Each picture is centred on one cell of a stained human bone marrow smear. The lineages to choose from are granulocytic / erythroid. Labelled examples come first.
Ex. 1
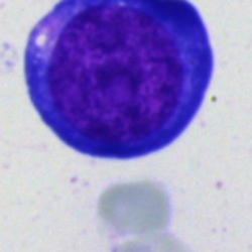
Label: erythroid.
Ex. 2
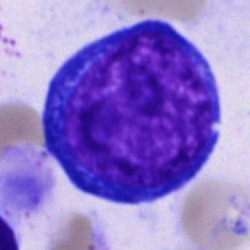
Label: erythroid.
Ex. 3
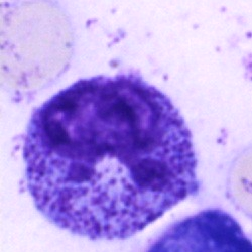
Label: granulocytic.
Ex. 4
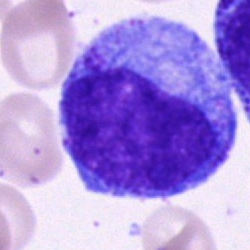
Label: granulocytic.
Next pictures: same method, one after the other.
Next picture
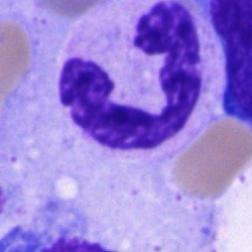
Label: granulocytic.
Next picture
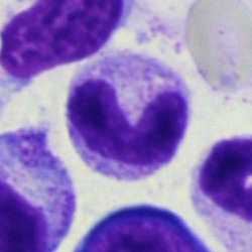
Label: granulocytic.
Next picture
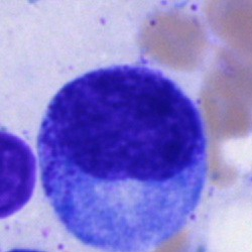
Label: granulocytic.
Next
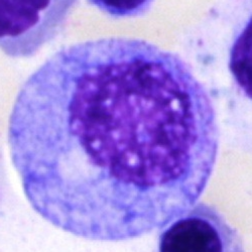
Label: granulocytic.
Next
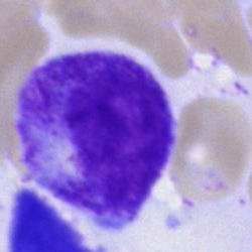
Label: granulocytic.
